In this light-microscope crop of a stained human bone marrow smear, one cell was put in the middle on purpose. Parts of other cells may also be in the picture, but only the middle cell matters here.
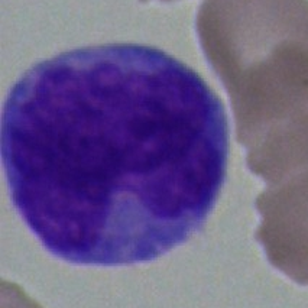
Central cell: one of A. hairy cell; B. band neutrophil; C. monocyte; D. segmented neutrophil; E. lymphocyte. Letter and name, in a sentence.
Since the middle cell is a monocyte, option C is the right one.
